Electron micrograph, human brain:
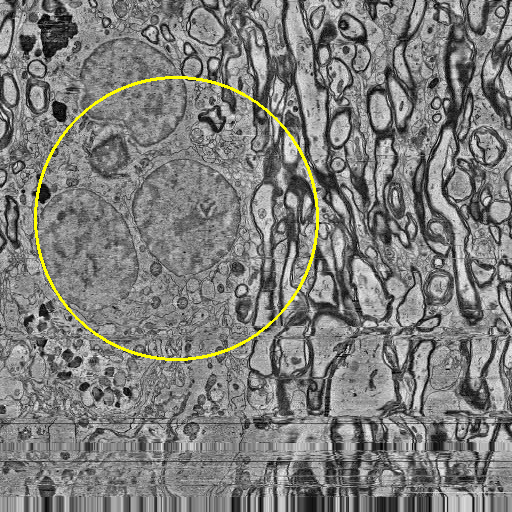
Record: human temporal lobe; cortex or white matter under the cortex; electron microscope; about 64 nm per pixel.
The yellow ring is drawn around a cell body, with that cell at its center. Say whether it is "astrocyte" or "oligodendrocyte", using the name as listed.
oligodendrocyte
